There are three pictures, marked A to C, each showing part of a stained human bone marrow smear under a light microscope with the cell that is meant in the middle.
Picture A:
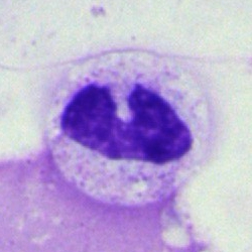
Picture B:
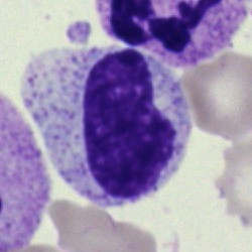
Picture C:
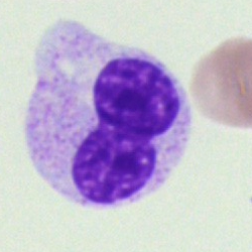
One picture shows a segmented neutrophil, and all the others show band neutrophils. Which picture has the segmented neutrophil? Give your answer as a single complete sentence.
Picture A shows the segmented neutrophil.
